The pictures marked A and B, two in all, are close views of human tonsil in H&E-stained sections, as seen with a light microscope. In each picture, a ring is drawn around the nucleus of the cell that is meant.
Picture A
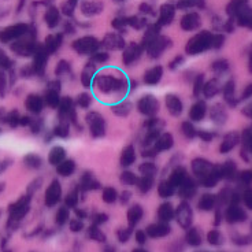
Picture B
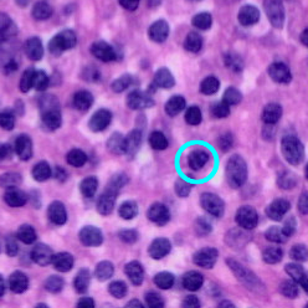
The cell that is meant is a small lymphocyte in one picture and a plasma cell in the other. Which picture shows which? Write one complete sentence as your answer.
Picture A shows a small lymphocyte and picture B shows a plasma cell.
